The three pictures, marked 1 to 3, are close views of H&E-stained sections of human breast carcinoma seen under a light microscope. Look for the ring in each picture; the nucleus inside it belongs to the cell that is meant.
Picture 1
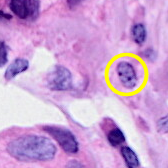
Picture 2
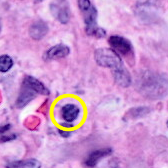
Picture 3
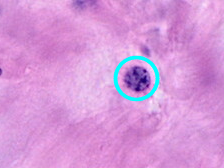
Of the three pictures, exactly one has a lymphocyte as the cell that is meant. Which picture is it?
2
